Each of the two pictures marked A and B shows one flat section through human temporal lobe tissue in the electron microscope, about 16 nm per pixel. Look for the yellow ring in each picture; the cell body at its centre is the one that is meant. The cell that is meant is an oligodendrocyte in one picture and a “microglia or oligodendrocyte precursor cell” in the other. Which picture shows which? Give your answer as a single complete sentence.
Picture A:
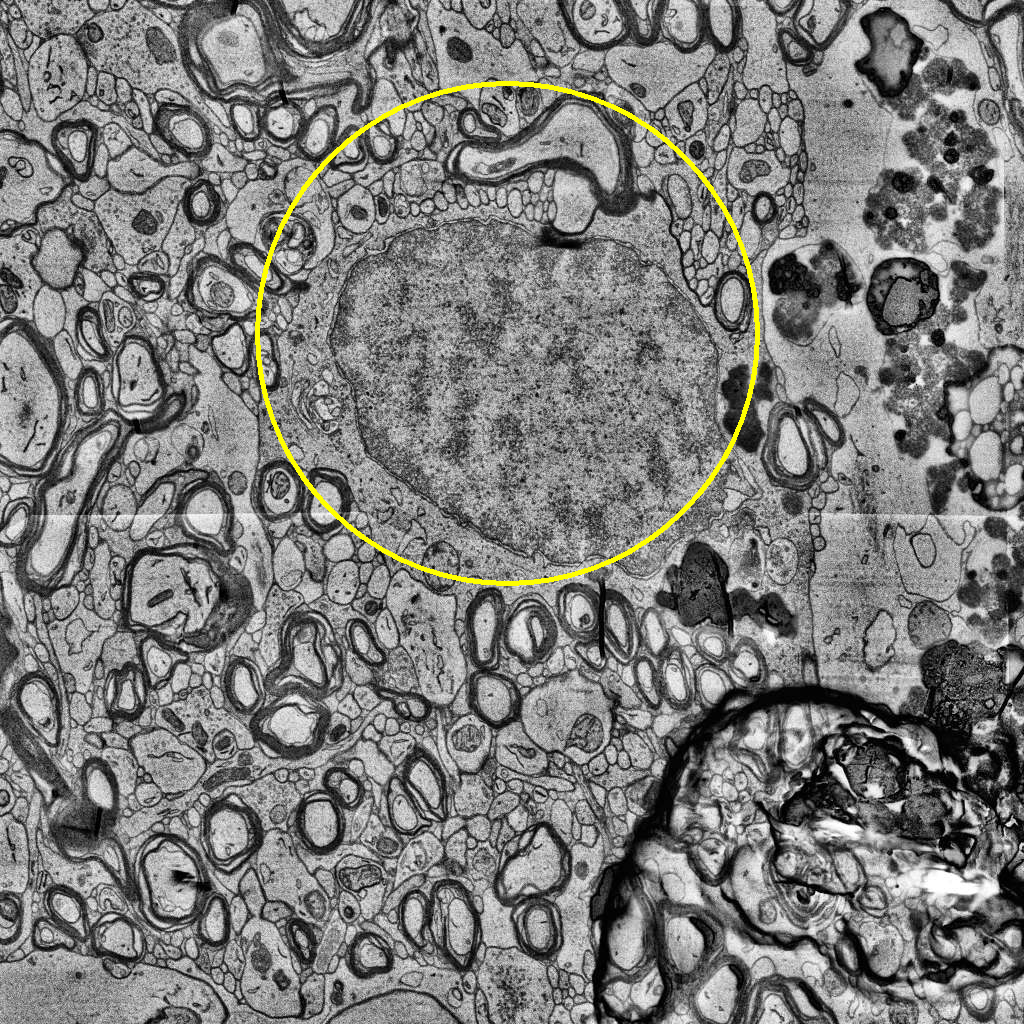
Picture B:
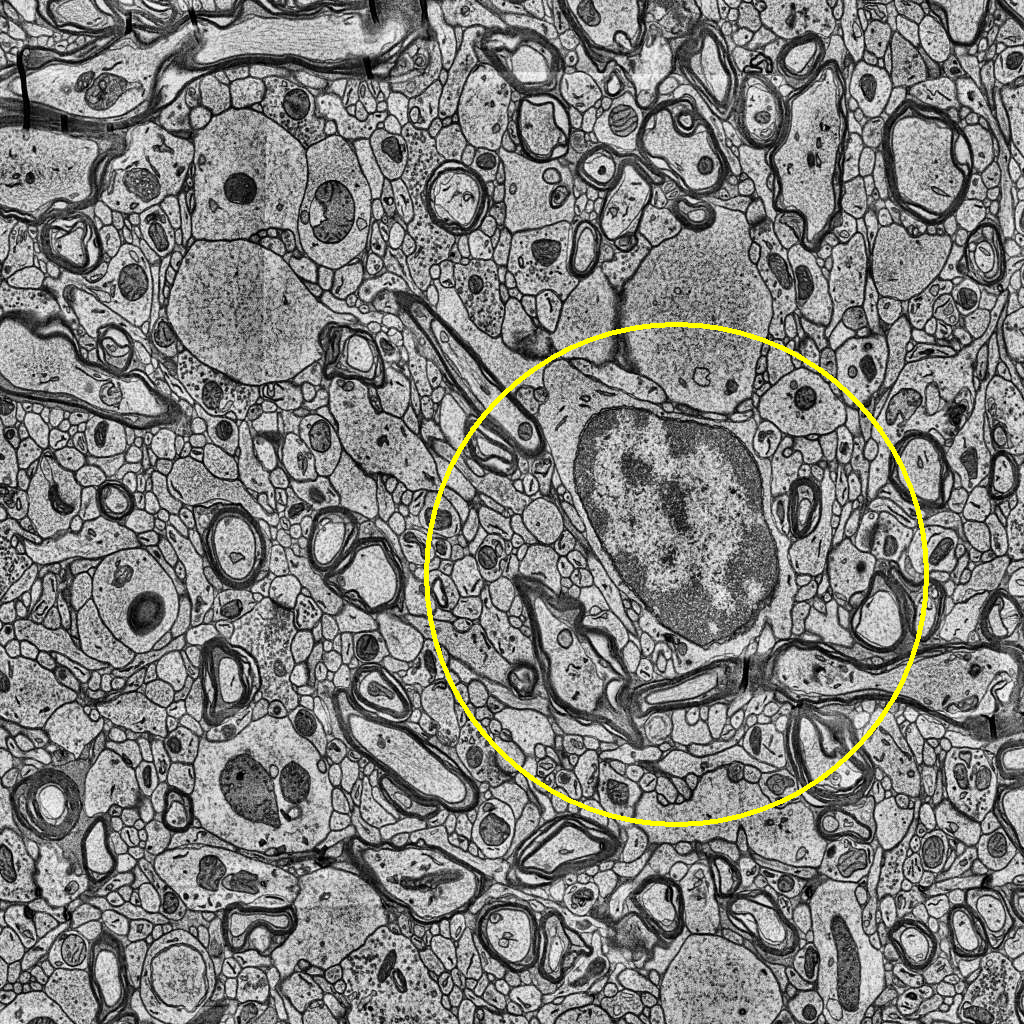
It is picture A that shows an oligodendrocyte, and picture B that shows a “microglia or oligodendrocyte precursor cell”.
